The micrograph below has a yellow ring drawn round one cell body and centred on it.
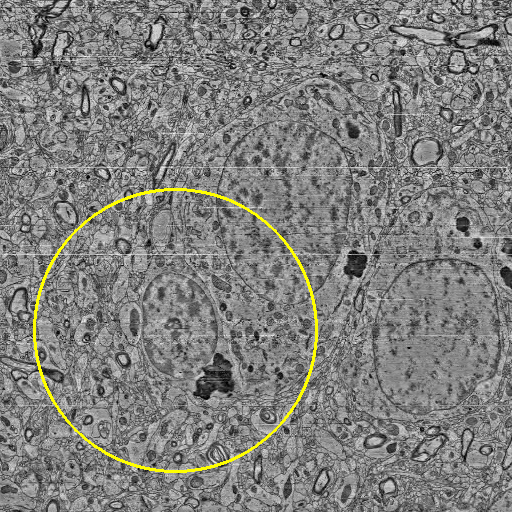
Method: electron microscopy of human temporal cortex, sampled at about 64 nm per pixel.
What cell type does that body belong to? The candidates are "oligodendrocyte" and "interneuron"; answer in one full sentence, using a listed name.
This is an oligodendrocyte, the cell whose body lies at the centre of the ring.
